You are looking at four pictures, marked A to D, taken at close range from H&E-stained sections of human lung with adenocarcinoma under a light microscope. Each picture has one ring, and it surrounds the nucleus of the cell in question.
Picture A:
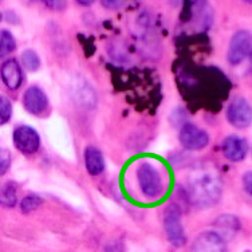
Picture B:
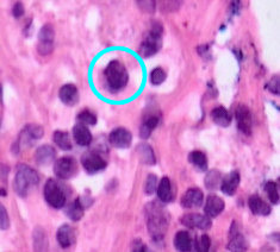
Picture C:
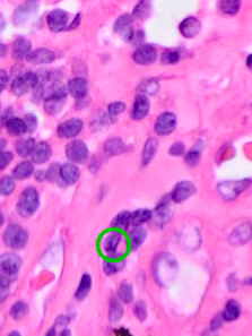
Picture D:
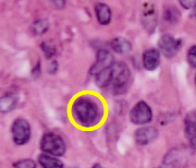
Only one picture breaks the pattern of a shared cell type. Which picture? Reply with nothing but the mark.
D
